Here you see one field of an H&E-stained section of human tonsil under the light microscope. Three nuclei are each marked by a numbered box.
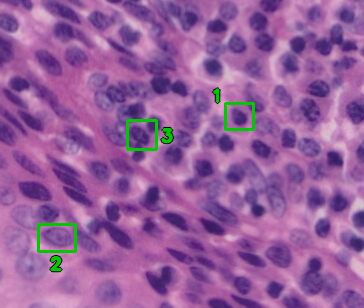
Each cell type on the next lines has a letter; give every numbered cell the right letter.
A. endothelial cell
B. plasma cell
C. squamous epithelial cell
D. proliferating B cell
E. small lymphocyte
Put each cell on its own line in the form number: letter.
1: B
2: C
3: B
